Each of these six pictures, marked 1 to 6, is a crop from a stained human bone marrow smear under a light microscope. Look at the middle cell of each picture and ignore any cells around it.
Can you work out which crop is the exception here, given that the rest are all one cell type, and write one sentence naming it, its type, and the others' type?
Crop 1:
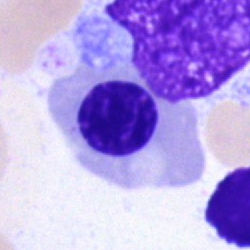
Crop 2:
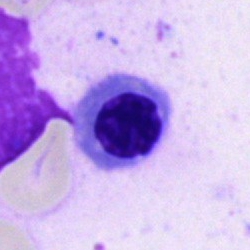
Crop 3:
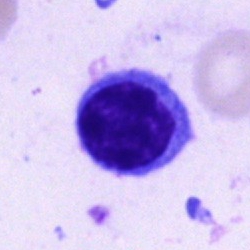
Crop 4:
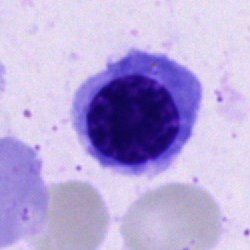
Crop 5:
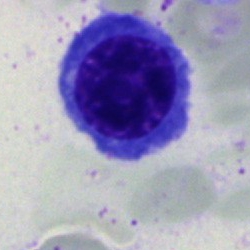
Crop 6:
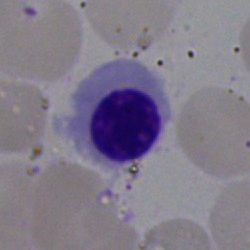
Crop 3 differs from the others in showing a lymphocyte; the rest all show normoblasts.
